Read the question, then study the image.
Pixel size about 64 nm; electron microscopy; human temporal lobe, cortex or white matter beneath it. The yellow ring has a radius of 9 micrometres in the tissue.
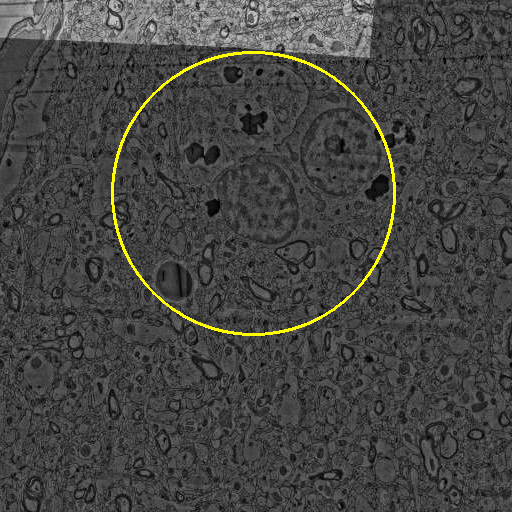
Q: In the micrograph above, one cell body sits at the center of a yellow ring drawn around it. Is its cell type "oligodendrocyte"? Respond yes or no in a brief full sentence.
Yes, its cell type is that one.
